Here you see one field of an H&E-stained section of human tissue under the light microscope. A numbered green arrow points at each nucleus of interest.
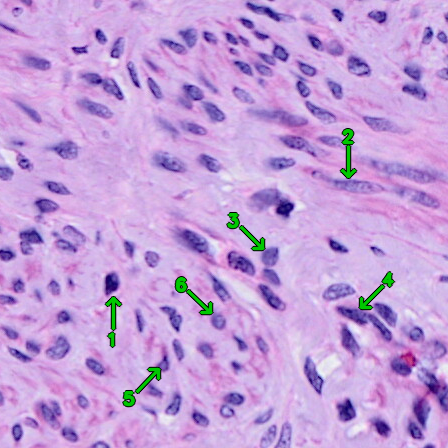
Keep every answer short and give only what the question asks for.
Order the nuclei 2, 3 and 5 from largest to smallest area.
2, 3, 5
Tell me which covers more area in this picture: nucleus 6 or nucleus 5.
6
